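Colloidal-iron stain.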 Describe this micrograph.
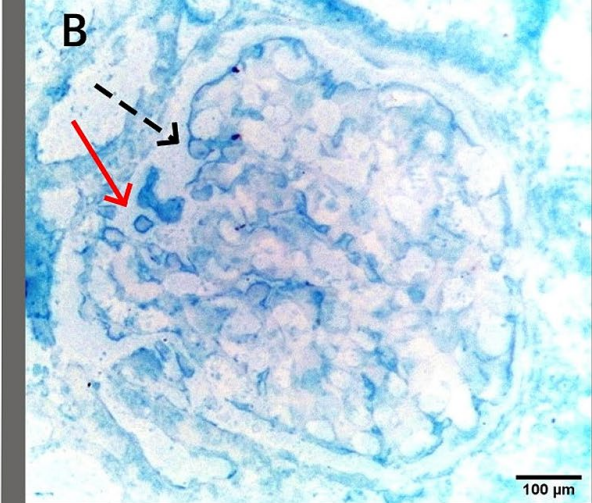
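A glomerulus lies within the pale, blue-tinged surrounding tissue, its tuft of capillary loops outlined by blue lines on a pale pinkish background. Cells on the outer surface of the loops are rimmed by the blue coat. Near the upper left of the tuft, a small rounded blue-rimmed cell sits apart from the loops, with a pale rim around it.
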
